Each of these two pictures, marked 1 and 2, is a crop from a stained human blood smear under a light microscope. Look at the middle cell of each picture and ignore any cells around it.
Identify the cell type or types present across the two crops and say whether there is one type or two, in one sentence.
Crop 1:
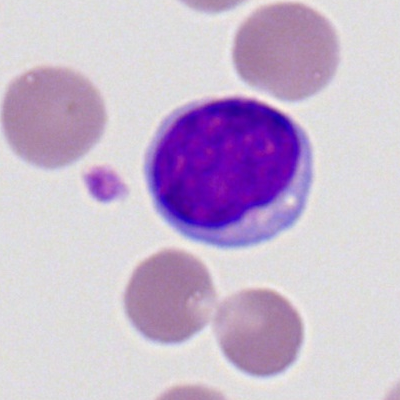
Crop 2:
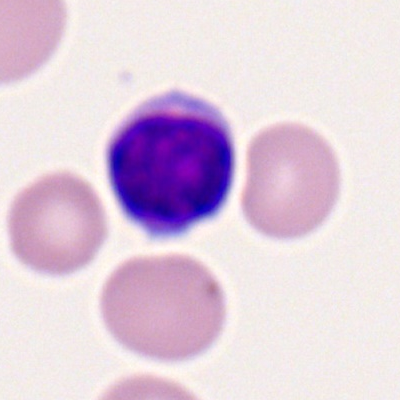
Yes, the cells placed at the centre of both crops are lymphocytes.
